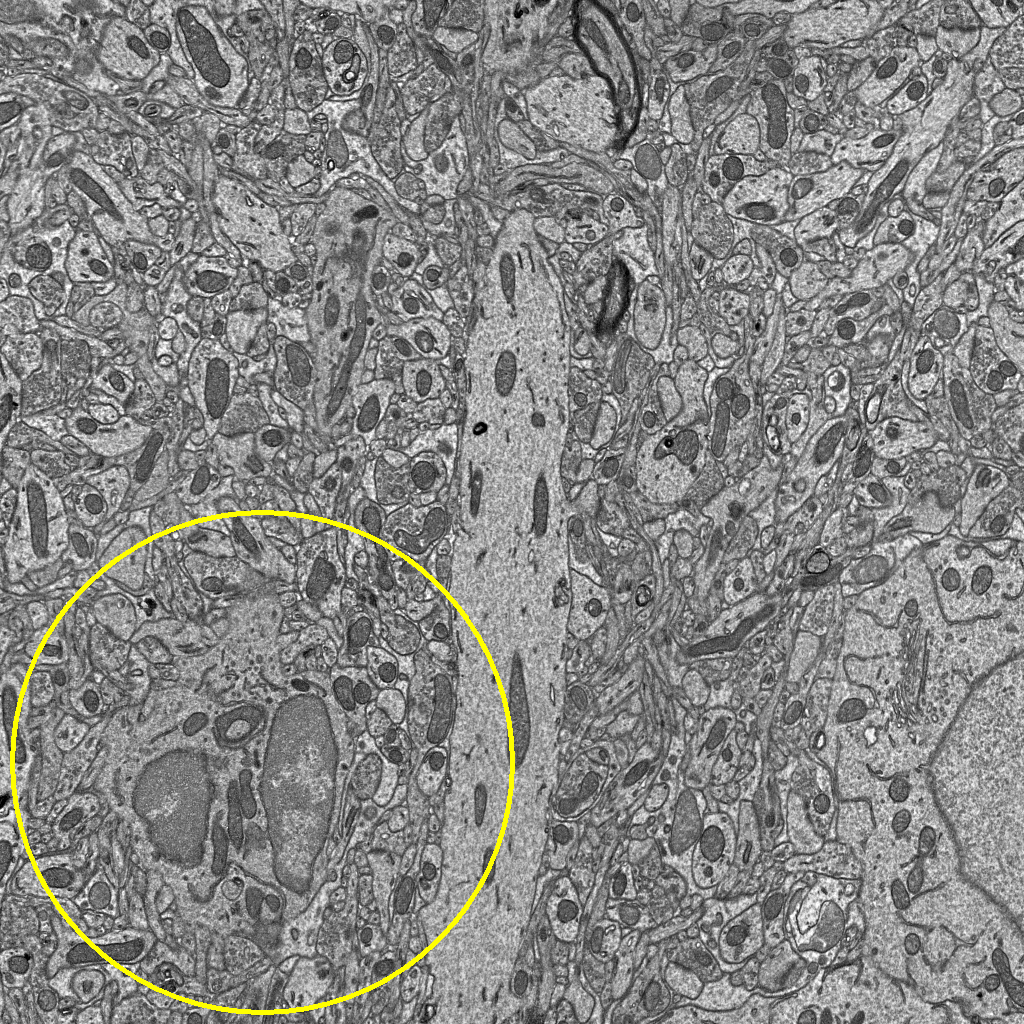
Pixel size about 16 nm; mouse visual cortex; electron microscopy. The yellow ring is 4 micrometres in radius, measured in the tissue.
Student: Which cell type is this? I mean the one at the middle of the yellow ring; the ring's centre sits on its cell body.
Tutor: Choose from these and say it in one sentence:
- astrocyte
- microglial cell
The cell at the ring's centre is a microglial cell.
